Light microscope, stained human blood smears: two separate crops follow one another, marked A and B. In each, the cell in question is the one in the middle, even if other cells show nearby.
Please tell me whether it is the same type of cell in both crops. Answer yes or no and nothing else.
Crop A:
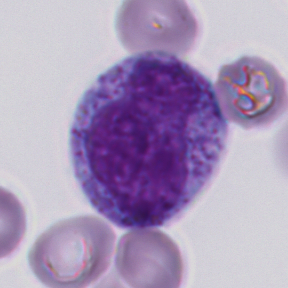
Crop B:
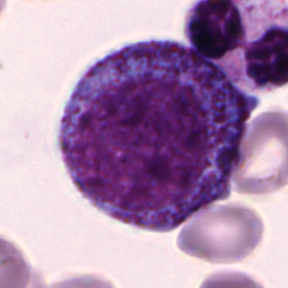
yes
